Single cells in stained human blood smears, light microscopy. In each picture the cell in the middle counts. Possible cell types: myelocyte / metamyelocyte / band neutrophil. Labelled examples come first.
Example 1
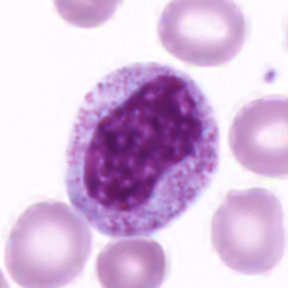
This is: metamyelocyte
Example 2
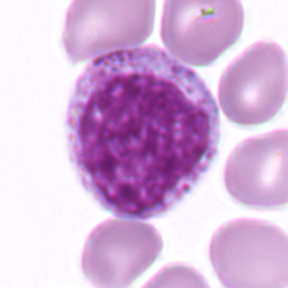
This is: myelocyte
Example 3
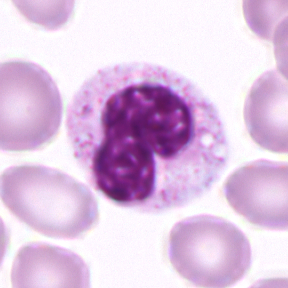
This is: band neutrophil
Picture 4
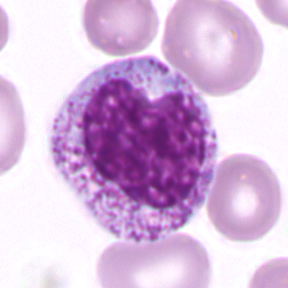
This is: myelocyte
